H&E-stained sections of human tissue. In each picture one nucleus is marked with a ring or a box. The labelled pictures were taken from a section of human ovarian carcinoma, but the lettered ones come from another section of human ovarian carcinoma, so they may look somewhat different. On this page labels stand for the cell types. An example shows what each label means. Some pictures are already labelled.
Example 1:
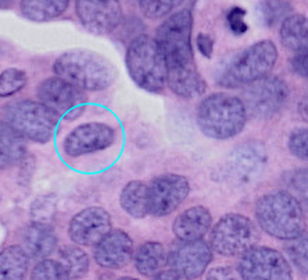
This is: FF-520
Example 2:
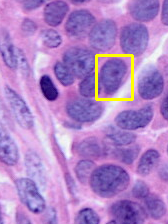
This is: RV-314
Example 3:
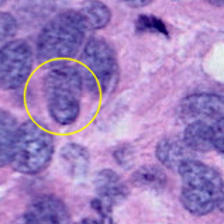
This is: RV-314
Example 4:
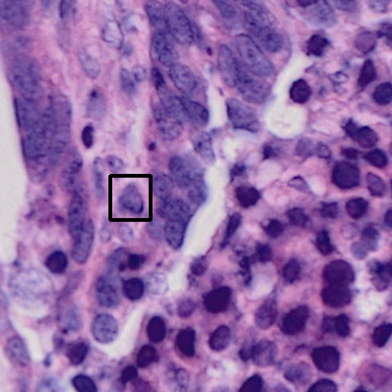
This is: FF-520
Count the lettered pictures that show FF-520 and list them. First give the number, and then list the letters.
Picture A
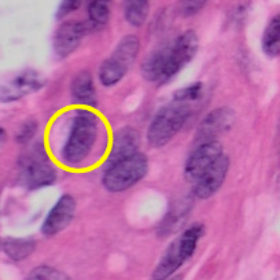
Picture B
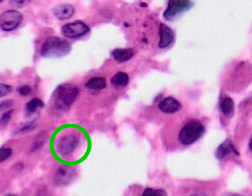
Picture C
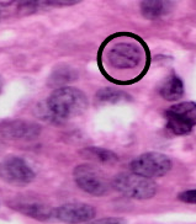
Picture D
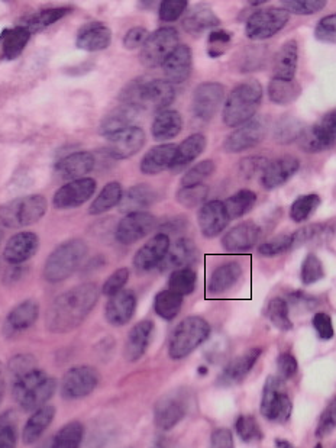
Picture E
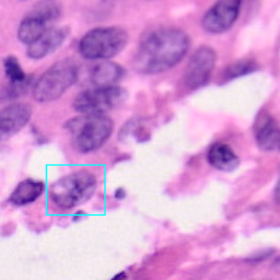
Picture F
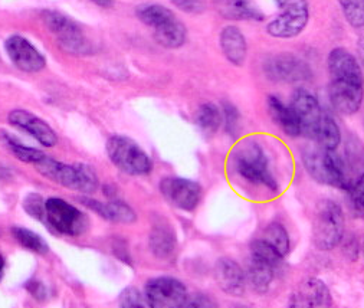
3: B, C, E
